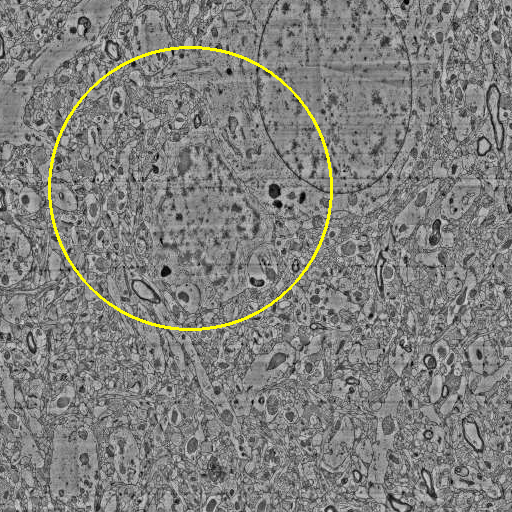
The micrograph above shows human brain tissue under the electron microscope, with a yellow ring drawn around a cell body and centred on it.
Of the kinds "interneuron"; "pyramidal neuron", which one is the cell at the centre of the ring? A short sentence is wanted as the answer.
The one at the centre of the ring is an interneuron.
